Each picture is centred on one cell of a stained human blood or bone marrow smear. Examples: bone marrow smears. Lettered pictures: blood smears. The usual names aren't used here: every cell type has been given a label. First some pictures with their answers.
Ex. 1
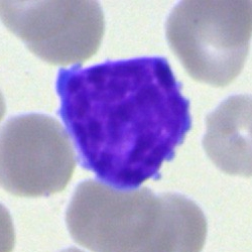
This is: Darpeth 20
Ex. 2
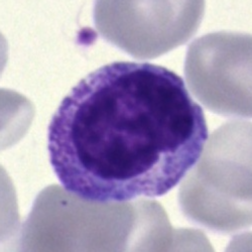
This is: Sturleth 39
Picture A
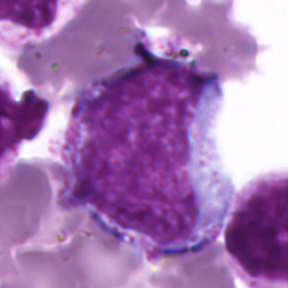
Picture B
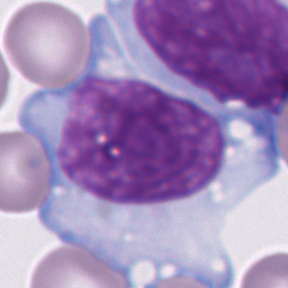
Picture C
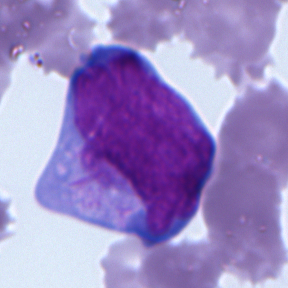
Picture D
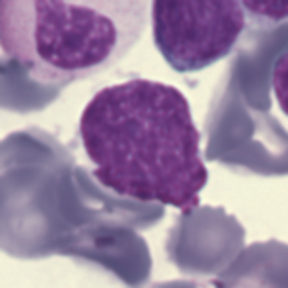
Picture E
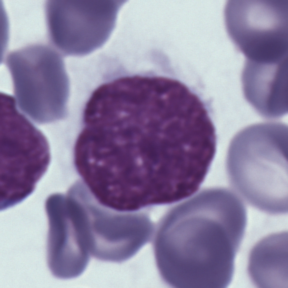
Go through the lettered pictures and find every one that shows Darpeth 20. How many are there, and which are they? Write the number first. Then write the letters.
Count: 4 (B, C, D, E)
